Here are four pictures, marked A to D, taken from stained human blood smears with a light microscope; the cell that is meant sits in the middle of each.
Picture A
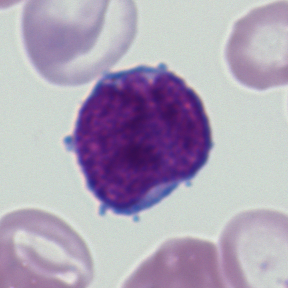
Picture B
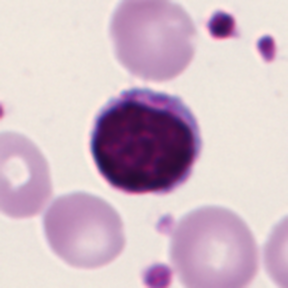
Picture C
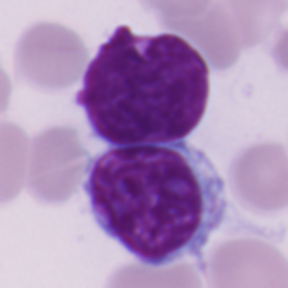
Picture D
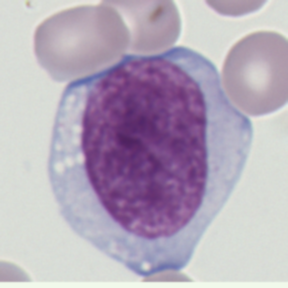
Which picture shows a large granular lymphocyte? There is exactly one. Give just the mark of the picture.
B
